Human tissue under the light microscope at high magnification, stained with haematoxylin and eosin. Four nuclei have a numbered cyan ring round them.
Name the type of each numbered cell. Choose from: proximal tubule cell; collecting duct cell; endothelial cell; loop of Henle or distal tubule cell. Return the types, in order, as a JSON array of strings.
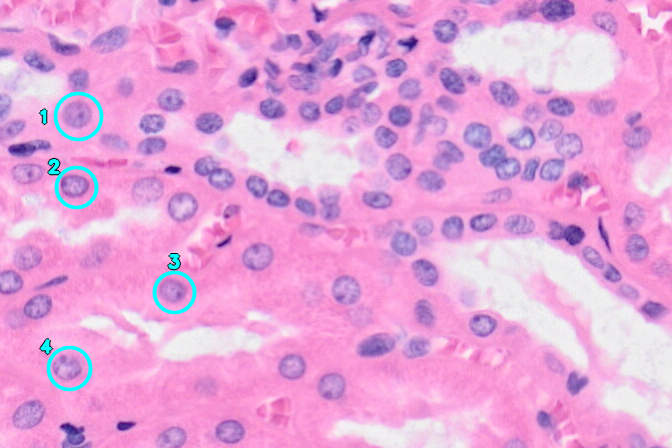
["loop of Henle or distal tubule cell", "proximal tubule cell", "proximal tubule cell", "proximal tubule cell"]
